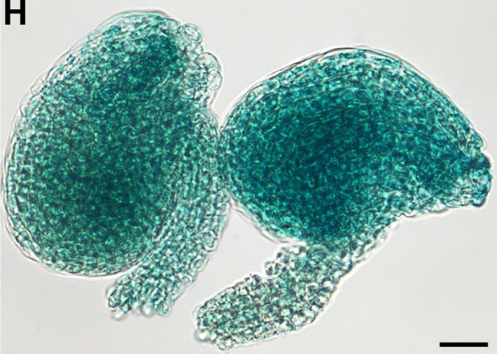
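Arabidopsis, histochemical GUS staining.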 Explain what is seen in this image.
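These are two mature ovules lying side by side. Each is an oval, curved body built of many small, closely packed cells, stained blue-green throughout, more densely in the central region. A narrower, paler stalk-like extension of loosely arranged cells projects from the lower side of each ovule.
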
